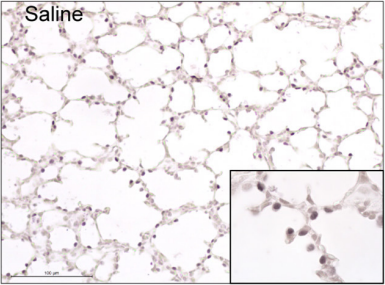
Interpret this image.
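The picture shows lung parenchyma made of thin pale septa that enclose many rounded empty air spaces. Scattered nuclei lie along the septa, and some of them, often at corners where septa meet, are stained darker than the rest. In the enlarged view a few rounded cells with dark nuclei sit within the septal wall. No airway or large vessel is in view, so this is the alveolar region of the distal lung.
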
